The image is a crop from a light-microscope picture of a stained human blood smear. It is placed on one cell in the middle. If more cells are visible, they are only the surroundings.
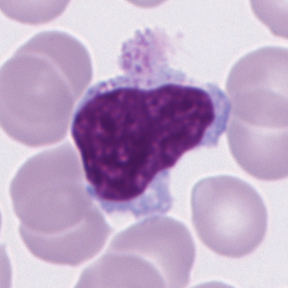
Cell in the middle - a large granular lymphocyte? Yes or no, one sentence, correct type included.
Yes, in the middle of the crop is a large granular lymphocyte.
